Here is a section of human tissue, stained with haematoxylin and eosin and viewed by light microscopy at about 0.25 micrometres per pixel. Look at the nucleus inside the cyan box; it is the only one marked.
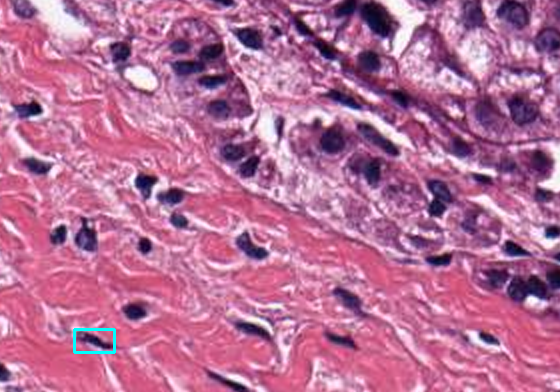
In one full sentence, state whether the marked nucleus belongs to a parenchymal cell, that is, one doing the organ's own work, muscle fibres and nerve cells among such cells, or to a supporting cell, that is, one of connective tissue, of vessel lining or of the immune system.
The marked nucleus is attributed to a supporting cell.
